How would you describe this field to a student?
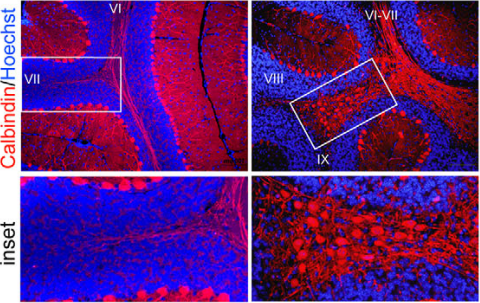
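These are sections of cerebellar folia, with densely packed blue nuclei of the granule layer forming bands around central cores of white matter. Large red Purkinje cell bodies sit in a row along the outer edge of each granule band, and their red dendrites fill the outer molecular layer. In the left image the central white matter contains red fibre bundles and only scattered nuclei, without red cell bodies. In the right image, and in its enlarged inset, many large rounded red cell bodies with processes lie clustered within the white matter, away from their usual row.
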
